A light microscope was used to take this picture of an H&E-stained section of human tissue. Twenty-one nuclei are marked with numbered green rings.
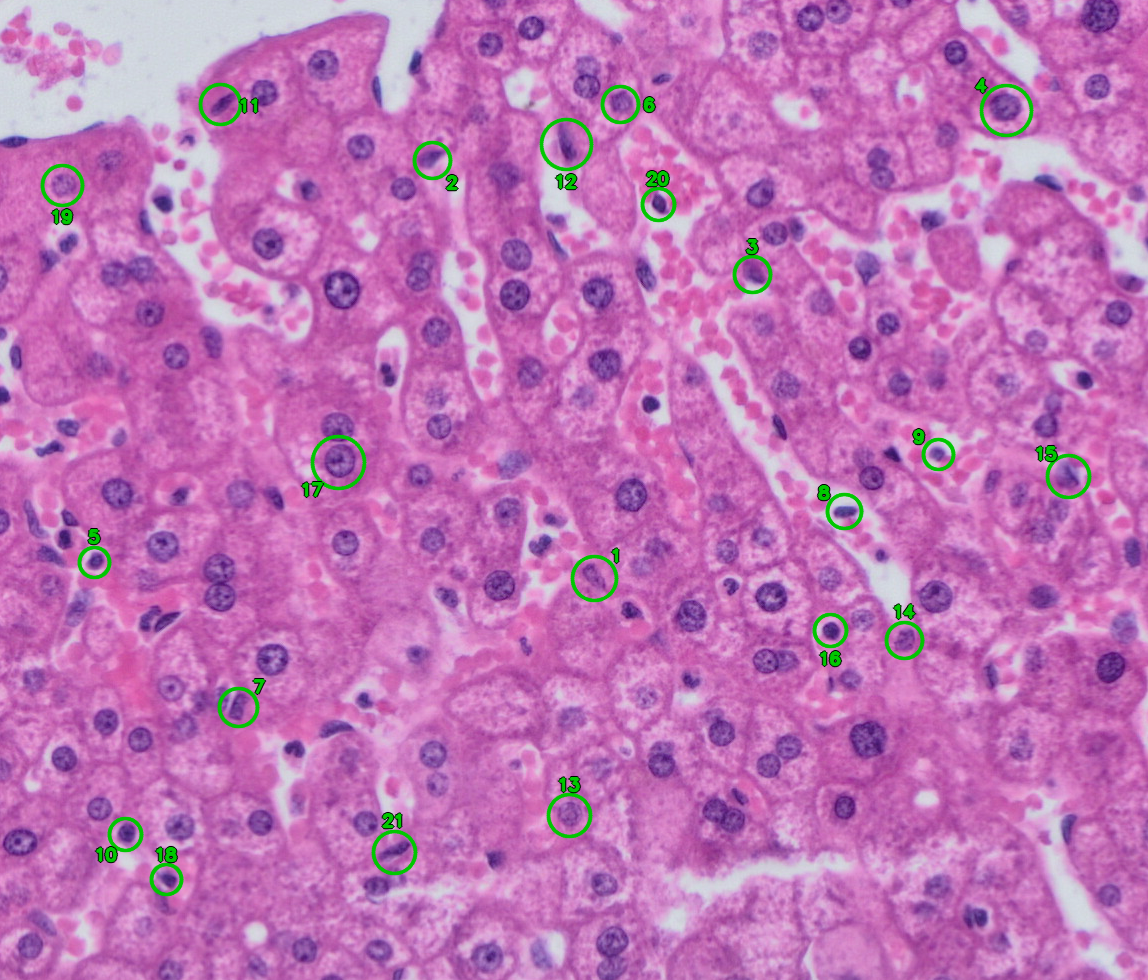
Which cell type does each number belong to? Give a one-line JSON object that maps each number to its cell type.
{"1": "Kupffer cell", "2": "endothelial cell", "3": "endothelial cell", "4": "hepatocyte", "5": "lymphocyte", "6": "hepatocyte", "7": "fibroblast or stellate cell", "8": "lymphocyte", "9": "lymphocyte", "10": "lymphocyte", "11": "fibroblast or stellate cell", "12": "Kupffer cell", "13": "hepatocyte", "14": "endothelial cell", "15": "endothelial cell", "16": "lymphocyte", "17": "hepatocyte", "18": "lymphocyte", "19": "hepatocyte", "20": "lymphocyte", "21": "fibroblast or stellate cell"}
